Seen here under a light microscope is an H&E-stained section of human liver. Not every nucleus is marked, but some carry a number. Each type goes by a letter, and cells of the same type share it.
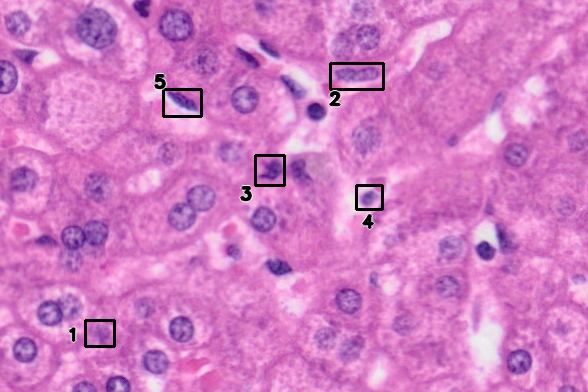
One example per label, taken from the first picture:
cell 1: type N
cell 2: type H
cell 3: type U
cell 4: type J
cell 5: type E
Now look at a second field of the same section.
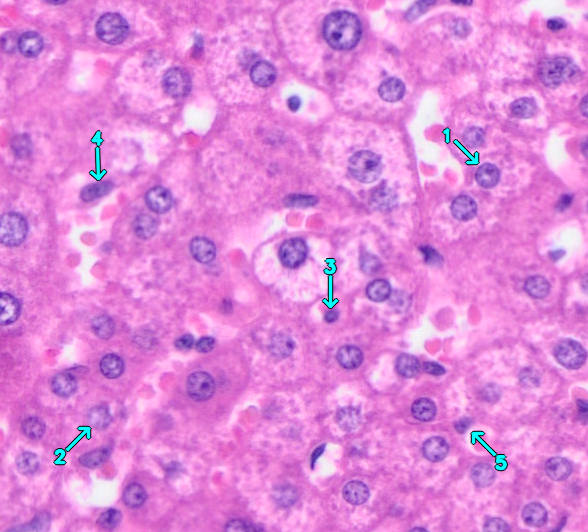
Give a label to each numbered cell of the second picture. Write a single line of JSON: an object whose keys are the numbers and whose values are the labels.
{"1": "type N", "2": "type N", "3": "type J", "4": "type H", "5": "type E"}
